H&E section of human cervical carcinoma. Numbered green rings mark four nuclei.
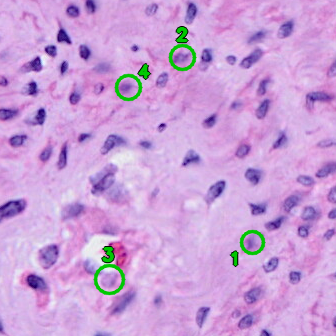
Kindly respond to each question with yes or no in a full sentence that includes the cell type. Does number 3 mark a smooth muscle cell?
No, number 3 is not a smooth muscle cell but an endothelial cell.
